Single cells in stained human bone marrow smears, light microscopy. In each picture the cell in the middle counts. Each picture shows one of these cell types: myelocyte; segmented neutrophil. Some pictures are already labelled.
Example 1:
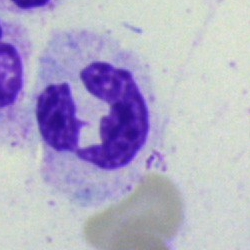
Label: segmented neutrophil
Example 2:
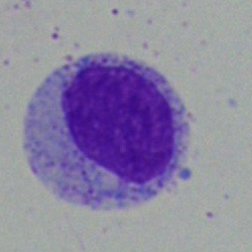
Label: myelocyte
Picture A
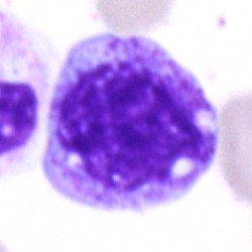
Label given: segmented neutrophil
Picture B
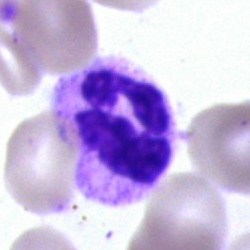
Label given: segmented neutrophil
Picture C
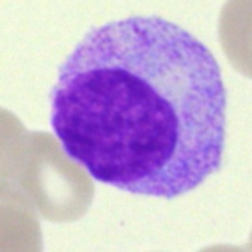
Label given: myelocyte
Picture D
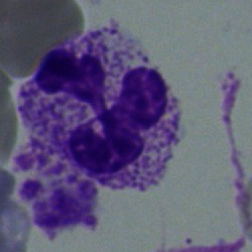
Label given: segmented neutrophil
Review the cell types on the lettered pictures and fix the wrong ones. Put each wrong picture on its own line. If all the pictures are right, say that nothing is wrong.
A: not segmented neutrophil but myelocyte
